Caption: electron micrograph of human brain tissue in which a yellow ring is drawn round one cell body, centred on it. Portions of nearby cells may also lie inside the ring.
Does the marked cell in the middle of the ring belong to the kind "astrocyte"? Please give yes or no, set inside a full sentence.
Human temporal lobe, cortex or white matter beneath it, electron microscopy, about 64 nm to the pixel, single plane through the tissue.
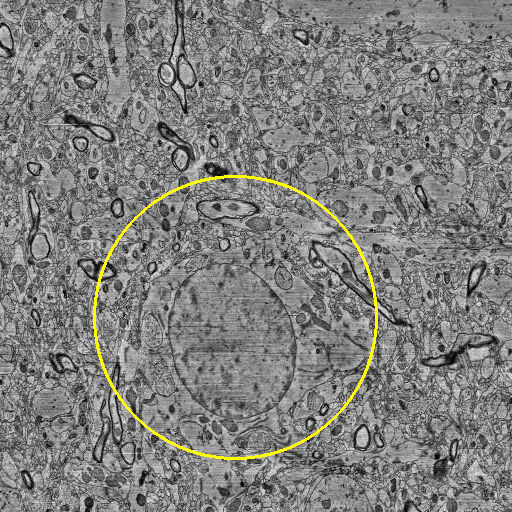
Yes, the marked cell that the ring is centred on in the picture is of that kind.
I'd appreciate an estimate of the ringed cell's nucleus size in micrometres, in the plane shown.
Roughly 10 by 8 micrometres is the size of the nucleus in this plane.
